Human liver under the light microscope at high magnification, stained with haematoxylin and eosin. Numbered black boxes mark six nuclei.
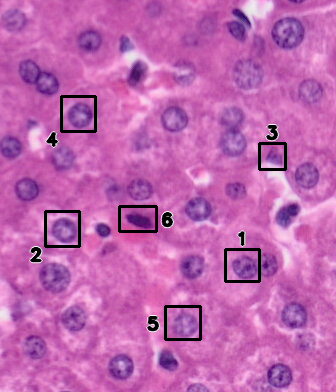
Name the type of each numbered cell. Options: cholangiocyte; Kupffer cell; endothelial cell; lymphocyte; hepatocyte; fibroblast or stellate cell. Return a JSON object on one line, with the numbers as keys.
{"1": "hepatocyte", "2": "hepatocyte", "3": "endothelial cell", "4": "hepatocyte", "5": "hepatocyte", "6": "fibroblast or stellate cell"}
